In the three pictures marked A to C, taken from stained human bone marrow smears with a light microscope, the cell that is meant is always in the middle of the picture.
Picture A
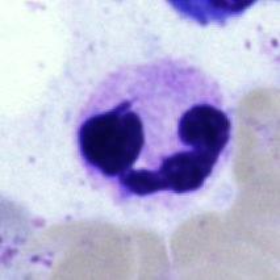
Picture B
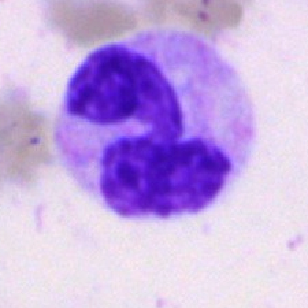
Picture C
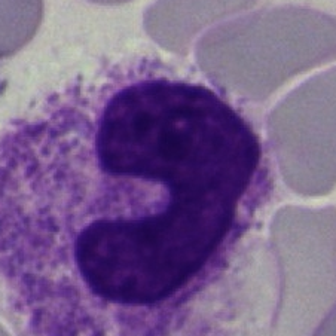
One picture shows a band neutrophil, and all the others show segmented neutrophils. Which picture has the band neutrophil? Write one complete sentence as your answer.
The band neutrophil is the one in picture C.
